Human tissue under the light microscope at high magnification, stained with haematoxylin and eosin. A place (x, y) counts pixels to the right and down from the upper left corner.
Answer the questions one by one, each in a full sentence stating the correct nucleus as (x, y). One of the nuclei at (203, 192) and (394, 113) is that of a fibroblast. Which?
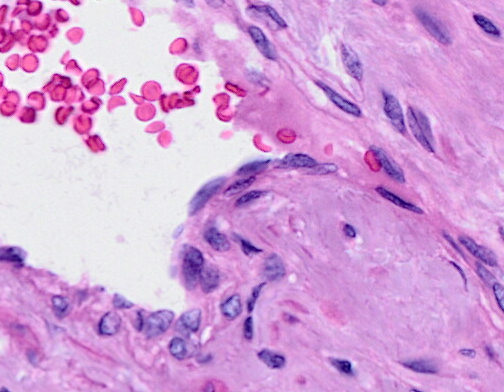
The nucleus of a fibroblast is the one found at (394, 113), not the other.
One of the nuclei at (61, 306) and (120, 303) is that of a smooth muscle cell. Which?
Answering which nucleus it is: the one at (61, 306), belonging to a smooth muscle cell.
